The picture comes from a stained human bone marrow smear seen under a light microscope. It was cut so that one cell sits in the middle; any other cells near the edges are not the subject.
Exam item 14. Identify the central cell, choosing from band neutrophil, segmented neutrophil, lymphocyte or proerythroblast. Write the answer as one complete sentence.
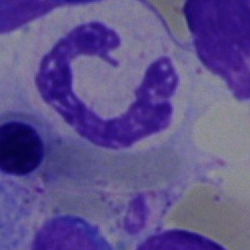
This crop's central cell is a segmented neutrophil.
